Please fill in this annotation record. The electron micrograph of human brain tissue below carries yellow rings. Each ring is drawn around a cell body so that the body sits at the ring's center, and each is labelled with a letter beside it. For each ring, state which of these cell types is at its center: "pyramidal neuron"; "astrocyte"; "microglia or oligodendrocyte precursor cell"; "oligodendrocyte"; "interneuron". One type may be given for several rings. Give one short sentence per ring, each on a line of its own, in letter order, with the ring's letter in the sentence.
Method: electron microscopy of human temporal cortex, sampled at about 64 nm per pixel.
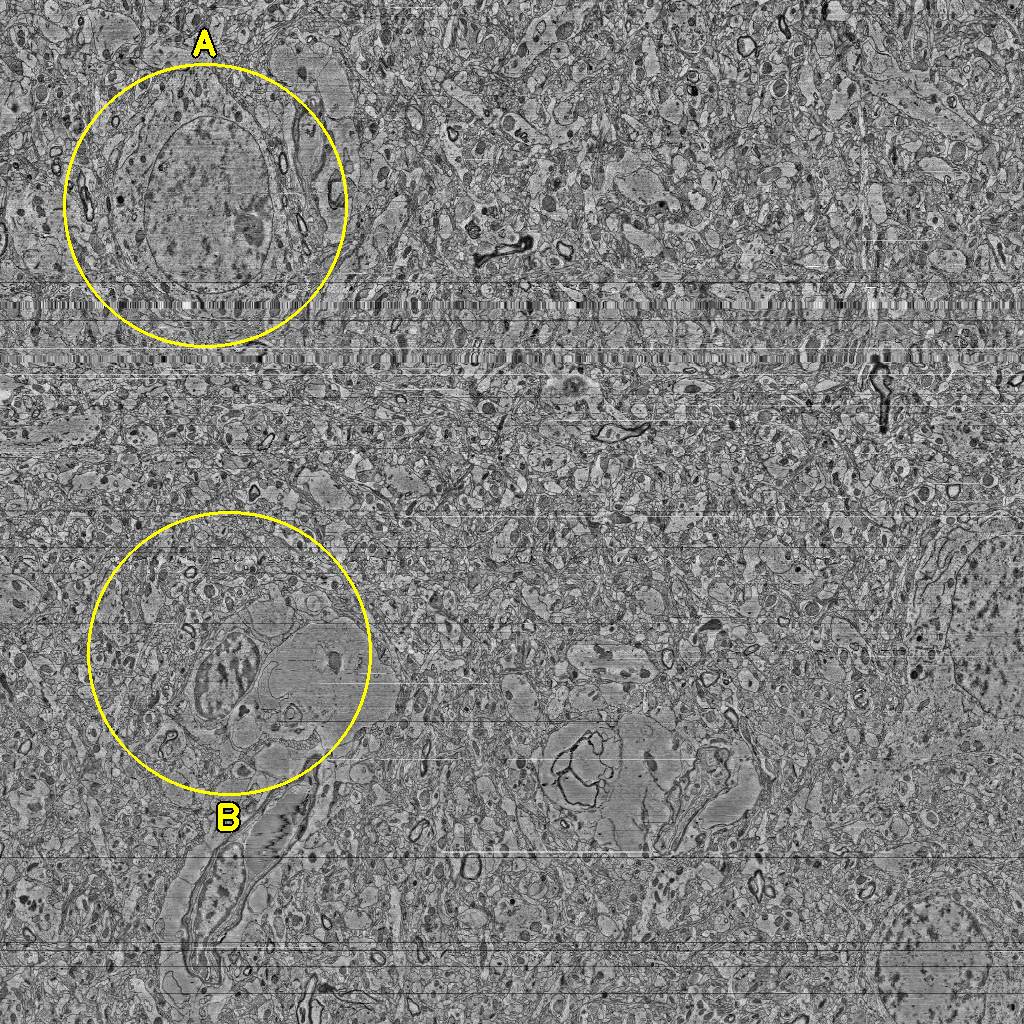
Ring A is drawn around a pyramidal neuron.
Ring B is drawn around a microglial cell or oligodendrocyte precursor cell.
